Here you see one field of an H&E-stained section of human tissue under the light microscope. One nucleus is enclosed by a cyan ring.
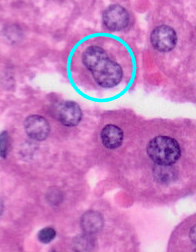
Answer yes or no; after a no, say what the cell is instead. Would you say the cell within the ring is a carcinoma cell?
No, it is a hepatocyte.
